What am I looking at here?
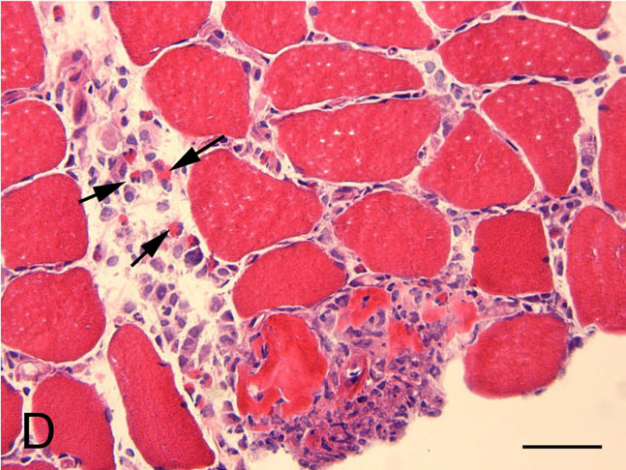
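This is a cross-section of skeletal muscle with an endomysial inflammatory cell infiltrate. The muscle fibres appear as polygonal red profiles of varying size, with small dark nuclei at their edges. Between the fibres on the left and at the bottom of the field, many small cells with dark nuclei crowd the widened spaces. Among them lie scattered cells with bright red-pink cytoplasm, the eosinophils. At the lower middle lies a cluster of irregular, intensely red fragments surrounded by densely packed nucleated cells.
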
